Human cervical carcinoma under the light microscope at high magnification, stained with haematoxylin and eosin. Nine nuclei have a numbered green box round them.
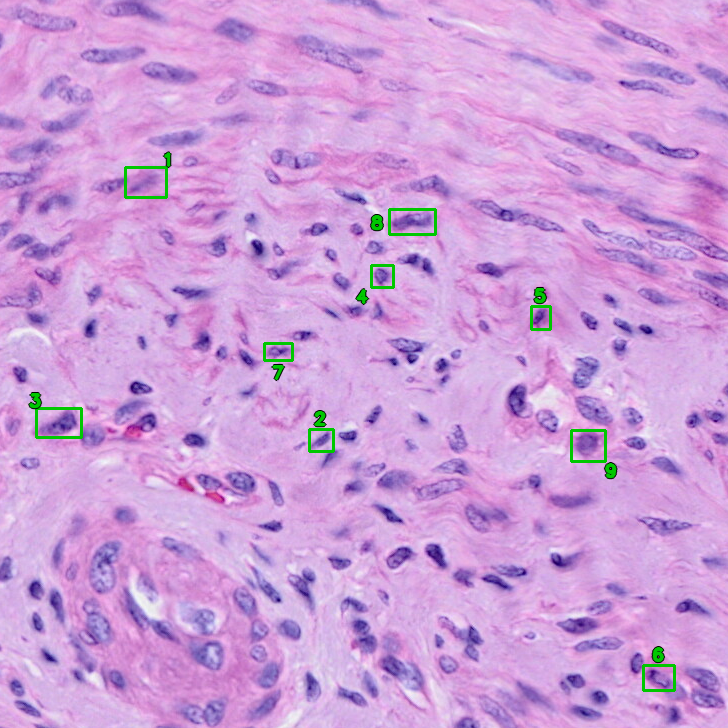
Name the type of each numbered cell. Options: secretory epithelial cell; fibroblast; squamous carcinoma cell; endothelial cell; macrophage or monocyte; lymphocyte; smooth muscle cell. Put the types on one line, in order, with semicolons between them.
smooth muscle cell; fibroblast; endothelial cell; smooth muscle cell; smooth muscle cell; endothelial cell; smooth muscle cell; smooth muscle cell; endothelial cell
